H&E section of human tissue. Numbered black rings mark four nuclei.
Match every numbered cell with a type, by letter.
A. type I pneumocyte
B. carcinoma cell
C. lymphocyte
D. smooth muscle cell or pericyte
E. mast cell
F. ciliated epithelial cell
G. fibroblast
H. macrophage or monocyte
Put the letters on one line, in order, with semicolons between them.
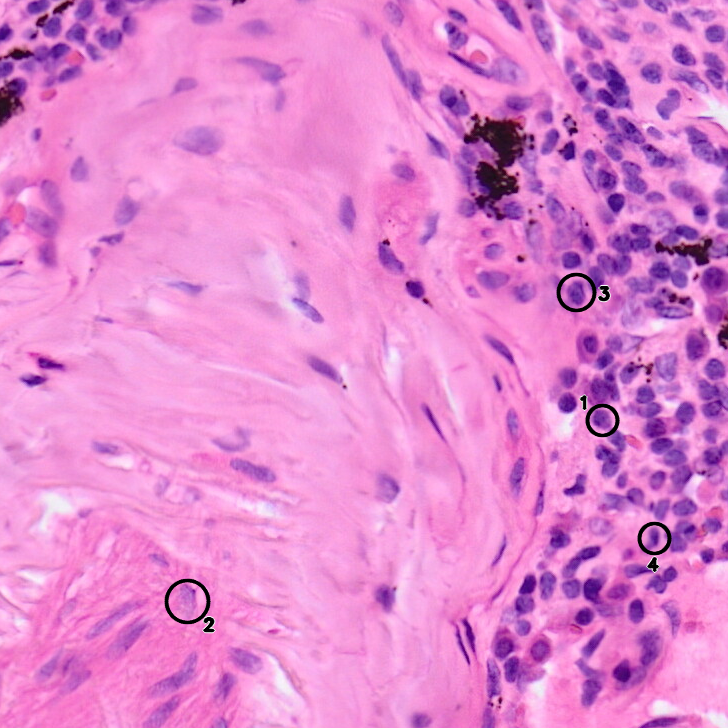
C; D; C; C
